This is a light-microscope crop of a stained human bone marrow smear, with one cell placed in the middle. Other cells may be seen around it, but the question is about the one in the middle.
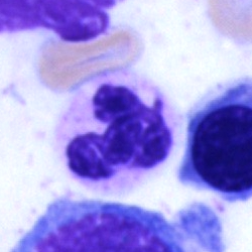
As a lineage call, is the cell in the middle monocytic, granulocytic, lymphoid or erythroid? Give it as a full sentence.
Recorded as granulocytic in lineage is the cell in the middle of the crop.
